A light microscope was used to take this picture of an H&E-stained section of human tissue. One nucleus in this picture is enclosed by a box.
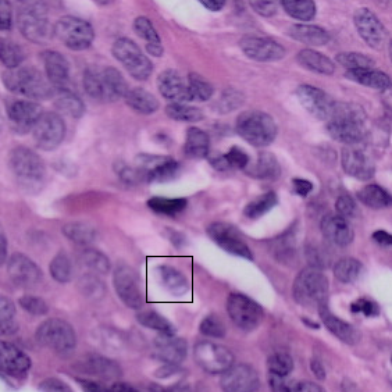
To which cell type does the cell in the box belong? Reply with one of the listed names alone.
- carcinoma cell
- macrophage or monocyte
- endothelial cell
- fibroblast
macrophage or monocyte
